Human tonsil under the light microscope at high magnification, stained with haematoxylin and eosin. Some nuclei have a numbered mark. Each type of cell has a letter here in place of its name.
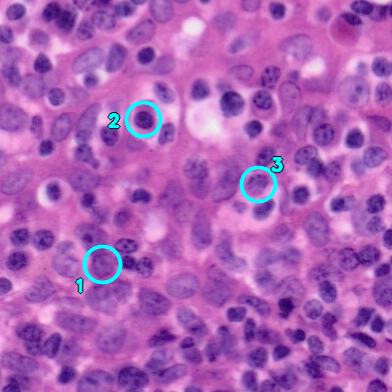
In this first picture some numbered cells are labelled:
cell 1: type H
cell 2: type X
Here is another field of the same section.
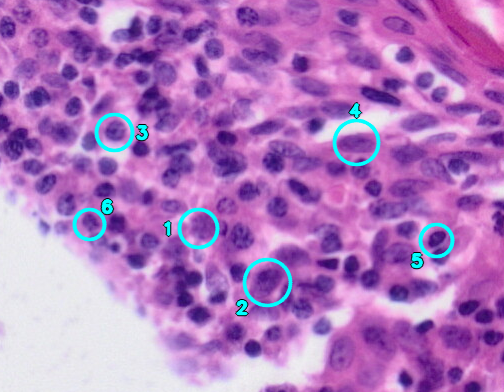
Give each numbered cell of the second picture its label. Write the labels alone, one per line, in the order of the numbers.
type H
type H
type X
type H
type X
type X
